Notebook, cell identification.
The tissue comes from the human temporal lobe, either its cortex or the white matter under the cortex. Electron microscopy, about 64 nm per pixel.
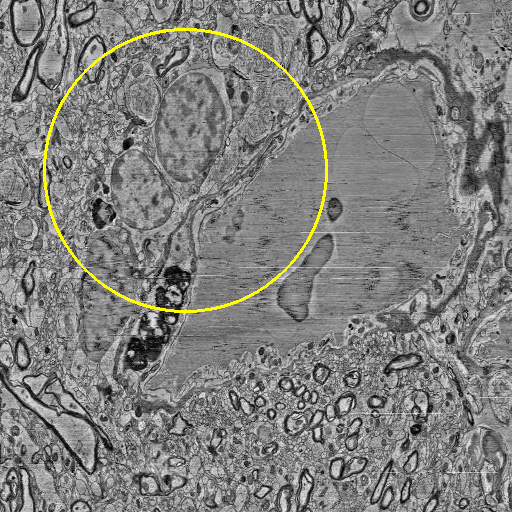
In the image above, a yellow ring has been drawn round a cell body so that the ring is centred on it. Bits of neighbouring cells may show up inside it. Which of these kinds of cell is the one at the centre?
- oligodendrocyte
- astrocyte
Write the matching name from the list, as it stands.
oligodendrocyte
